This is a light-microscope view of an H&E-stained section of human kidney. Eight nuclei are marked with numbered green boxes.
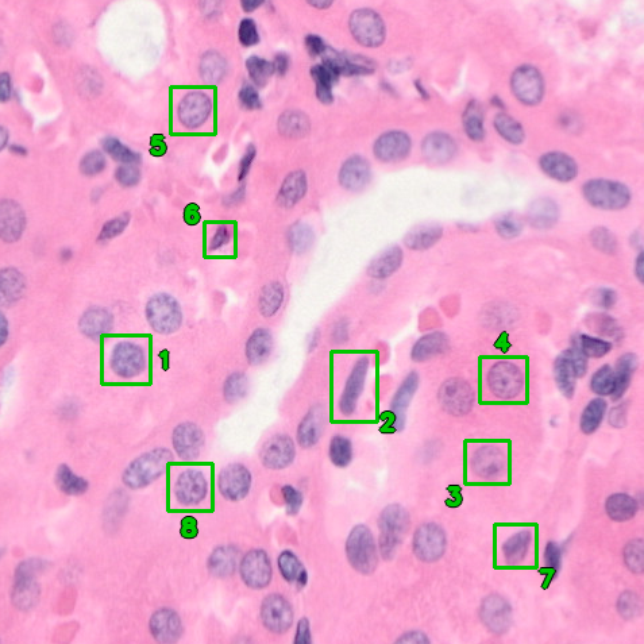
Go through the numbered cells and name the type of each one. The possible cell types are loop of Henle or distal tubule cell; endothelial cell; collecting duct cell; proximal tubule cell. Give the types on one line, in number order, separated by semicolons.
loop of Henle or distal tubule cell; endothelial cell; proximal tubule cell; proximal tubule cell; proximal tubule cell; endothelial cell; endothelial cell; collecting duct cell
